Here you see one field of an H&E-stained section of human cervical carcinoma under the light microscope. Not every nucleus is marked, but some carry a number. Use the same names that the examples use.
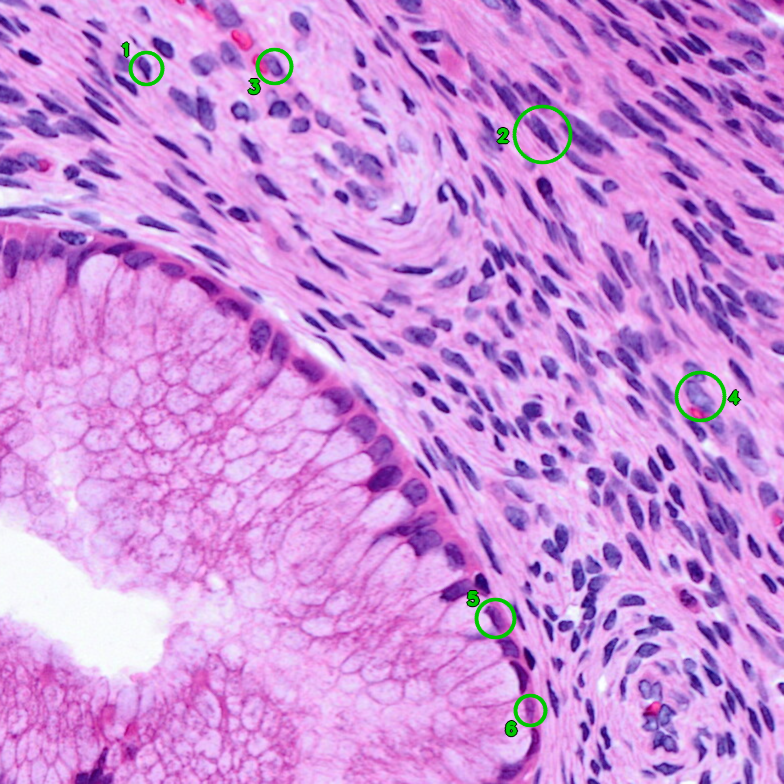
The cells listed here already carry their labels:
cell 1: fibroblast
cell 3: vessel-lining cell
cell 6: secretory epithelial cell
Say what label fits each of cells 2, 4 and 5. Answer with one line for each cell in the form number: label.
2: fibroblast
4: vessel-lining cell
5: secretory epithelial cell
